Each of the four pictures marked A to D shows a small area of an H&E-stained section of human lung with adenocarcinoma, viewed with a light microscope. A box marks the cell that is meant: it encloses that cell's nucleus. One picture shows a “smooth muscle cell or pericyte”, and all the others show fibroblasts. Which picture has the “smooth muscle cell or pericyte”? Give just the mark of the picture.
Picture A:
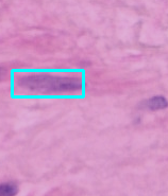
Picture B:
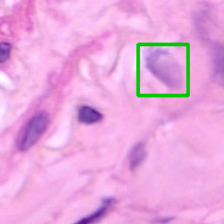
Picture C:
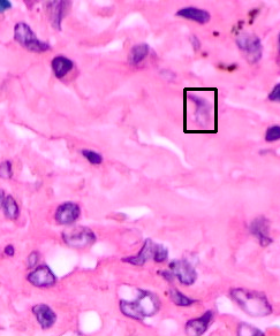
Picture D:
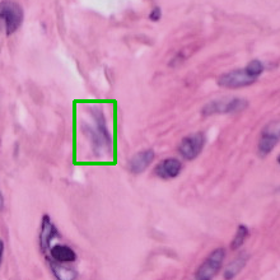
A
